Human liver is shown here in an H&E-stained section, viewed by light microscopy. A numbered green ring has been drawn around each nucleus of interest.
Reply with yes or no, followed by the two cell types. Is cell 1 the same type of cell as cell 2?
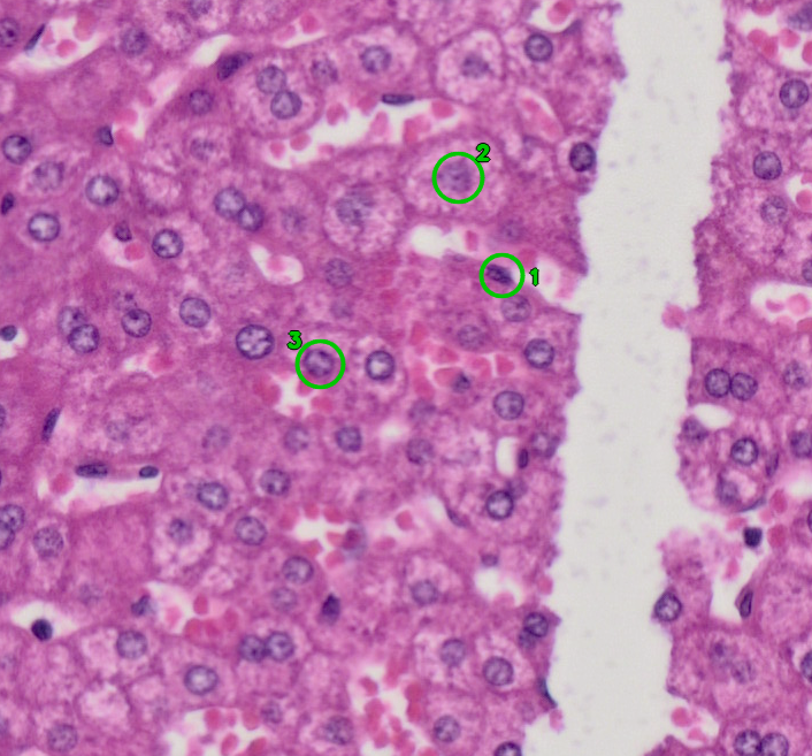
No, as for cell 1, it is a fibroblast or stellate cell, and cell 2 is a hepatocyte.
